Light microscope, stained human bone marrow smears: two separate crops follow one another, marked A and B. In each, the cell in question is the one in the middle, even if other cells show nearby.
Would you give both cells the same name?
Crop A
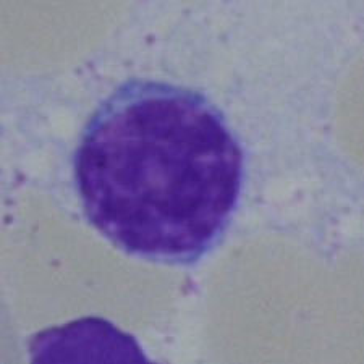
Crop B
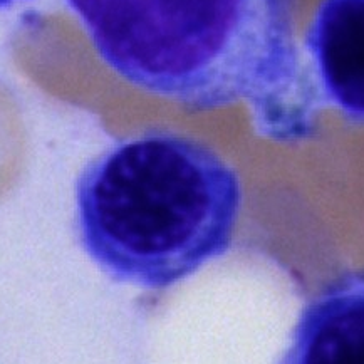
no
